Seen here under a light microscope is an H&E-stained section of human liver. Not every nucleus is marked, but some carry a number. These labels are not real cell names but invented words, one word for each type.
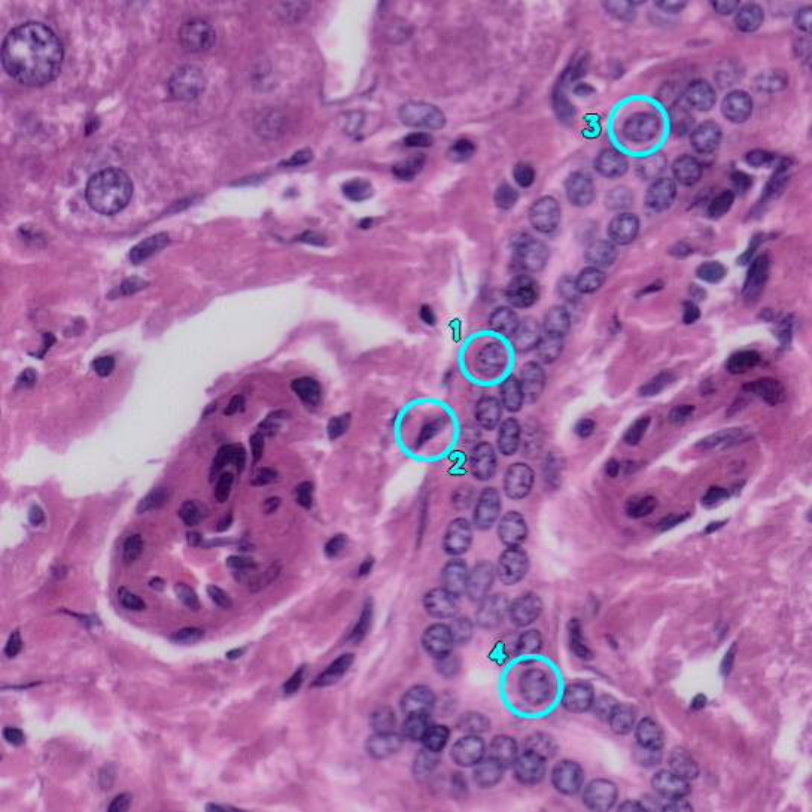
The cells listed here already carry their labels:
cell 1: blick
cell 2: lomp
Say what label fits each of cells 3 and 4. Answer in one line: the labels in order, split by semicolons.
blick; blick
